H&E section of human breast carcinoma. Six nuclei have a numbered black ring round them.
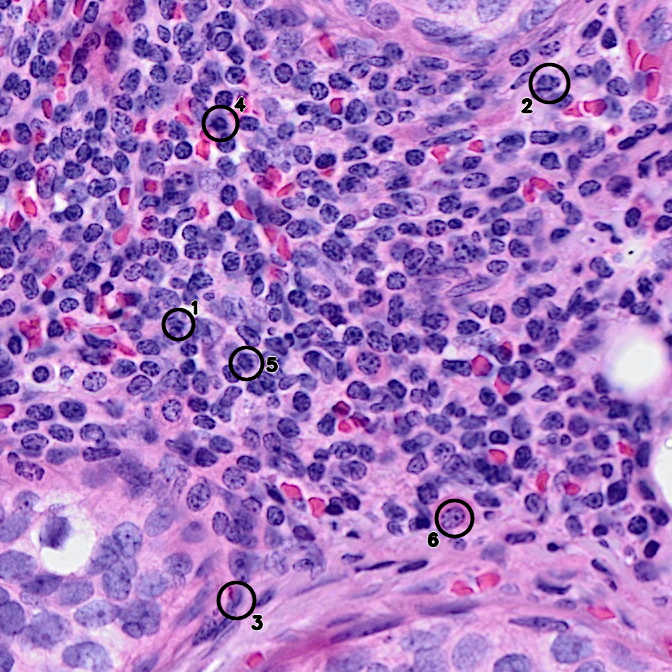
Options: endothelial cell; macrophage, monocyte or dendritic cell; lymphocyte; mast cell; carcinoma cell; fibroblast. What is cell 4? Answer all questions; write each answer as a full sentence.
The one numbered 4 among the marked cells is a lymphocyte.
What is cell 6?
In this section, the cell tagged 6 is a mast cell.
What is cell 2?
Cell 2 should be recorded as a lymphocyte.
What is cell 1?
Heads up, the cell numbered 1 is a lymphocyte.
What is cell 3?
The cell pointed out by number 3 is an endothelial cell.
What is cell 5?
The cell with the number 5 is a lymphocyte.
